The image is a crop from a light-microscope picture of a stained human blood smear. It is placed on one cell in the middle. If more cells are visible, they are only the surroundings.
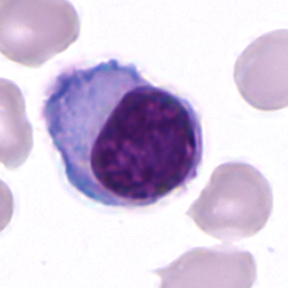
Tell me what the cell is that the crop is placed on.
plasma cell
